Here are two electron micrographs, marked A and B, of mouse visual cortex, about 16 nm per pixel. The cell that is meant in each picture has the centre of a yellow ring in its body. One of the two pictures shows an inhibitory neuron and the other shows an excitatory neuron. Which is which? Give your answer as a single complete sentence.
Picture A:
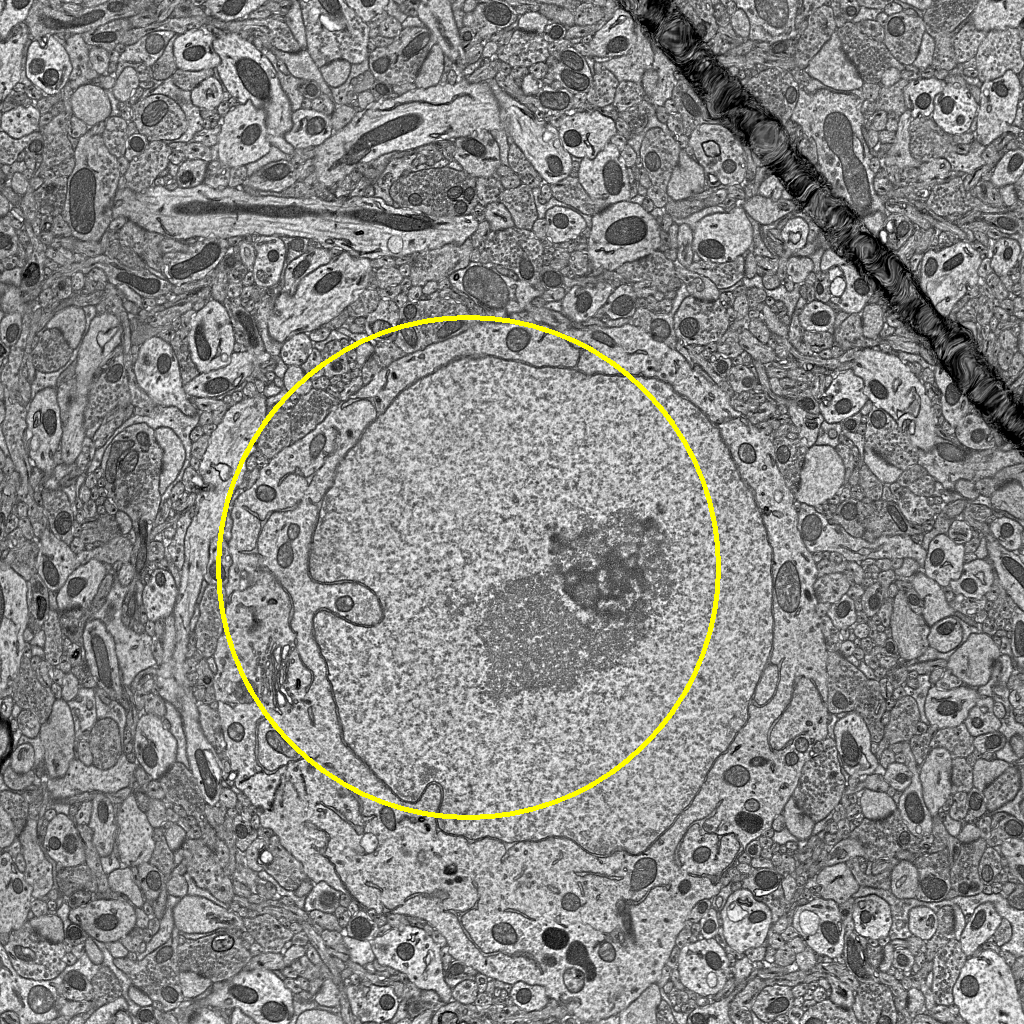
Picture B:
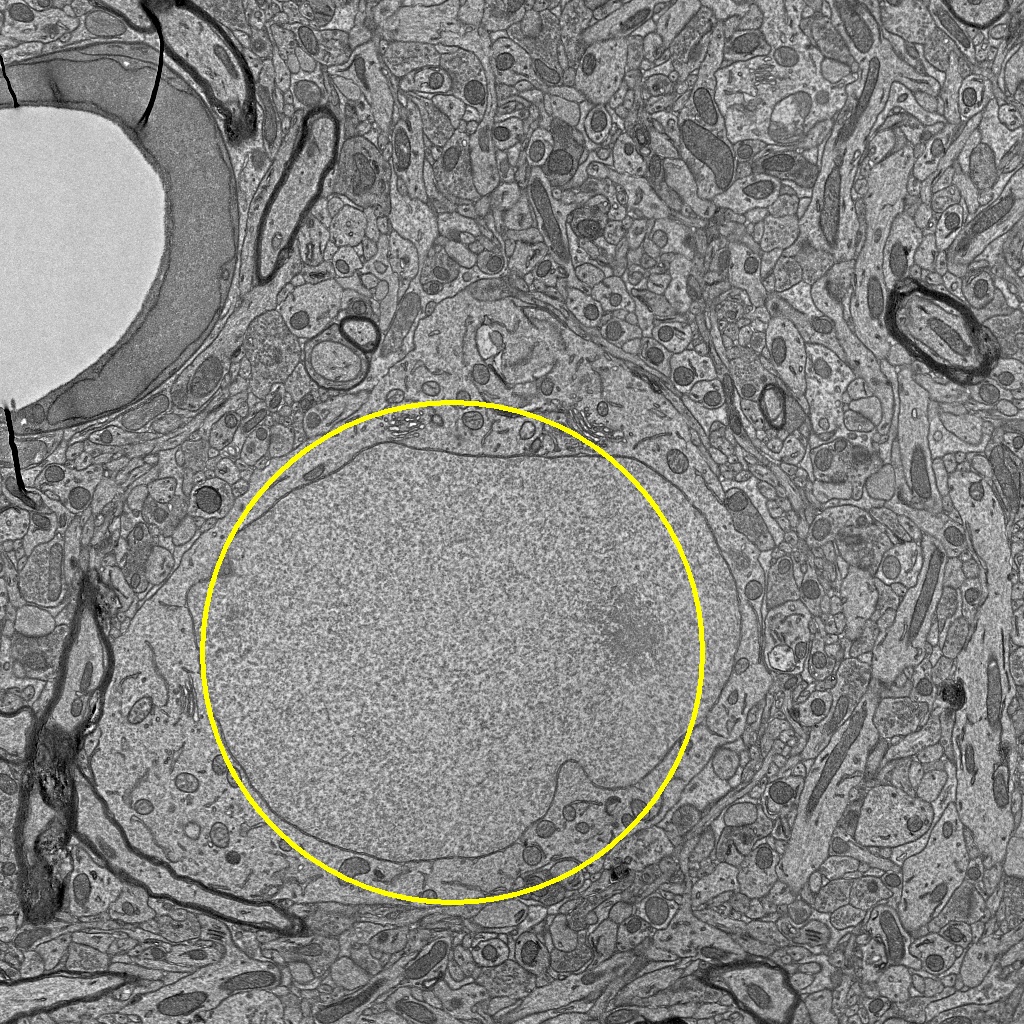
Picture A shows an inhibitory neuron and picture B shows an excitatory neuron.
